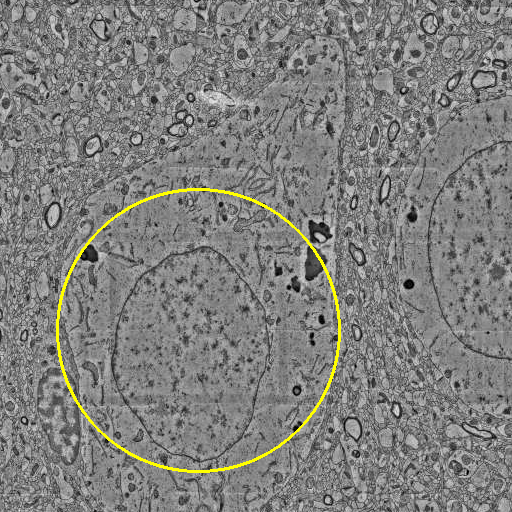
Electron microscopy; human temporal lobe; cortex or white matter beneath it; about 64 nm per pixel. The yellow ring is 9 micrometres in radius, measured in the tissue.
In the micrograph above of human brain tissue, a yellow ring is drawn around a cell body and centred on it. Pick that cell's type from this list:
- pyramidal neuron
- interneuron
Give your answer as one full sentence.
Going by the list, a pyramidal neuron is the cell on which the yellow ring is centred.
